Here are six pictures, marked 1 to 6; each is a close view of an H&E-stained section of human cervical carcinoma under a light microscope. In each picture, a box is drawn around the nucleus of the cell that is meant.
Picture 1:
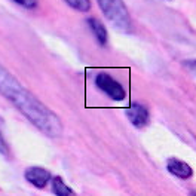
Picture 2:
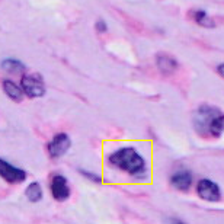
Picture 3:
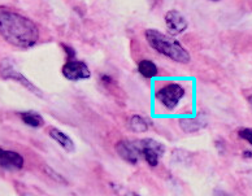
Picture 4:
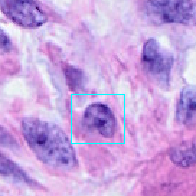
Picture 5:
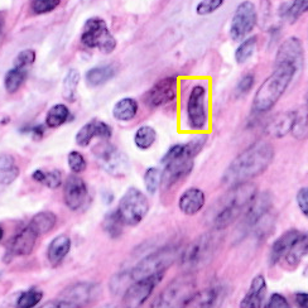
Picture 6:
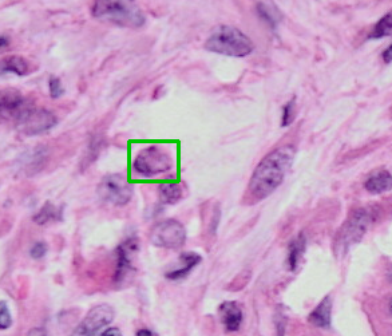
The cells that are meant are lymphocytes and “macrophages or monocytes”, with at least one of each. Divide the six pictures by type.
1: lymphocyte
2: lymphocyte
3: lymphocyte
4: macrophage or monocyte
5: lymphocyte
6: macrophage or monocyte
